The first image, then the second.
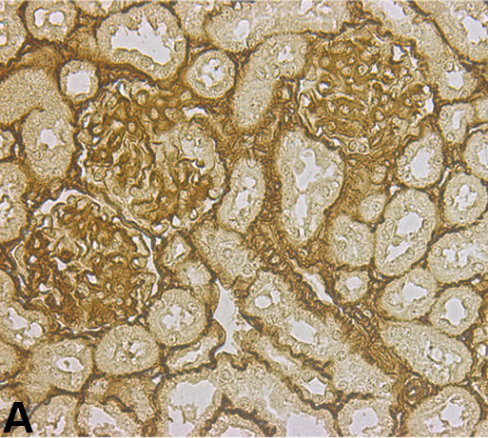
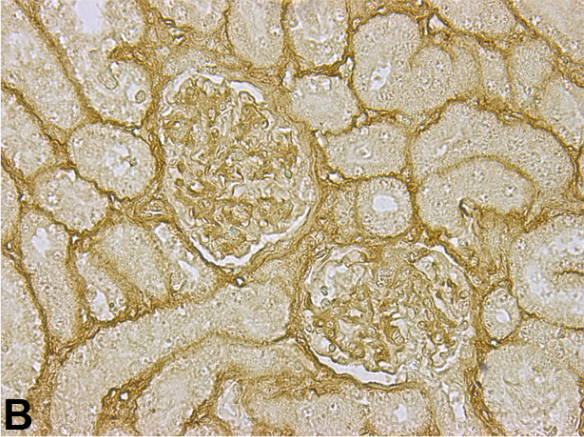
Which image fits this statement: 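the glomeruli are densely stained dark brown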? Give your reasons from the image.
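First image: the glomeruli are filled with dense dark brown staining, darker than the tubules around them.
Conclusion: the first image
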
